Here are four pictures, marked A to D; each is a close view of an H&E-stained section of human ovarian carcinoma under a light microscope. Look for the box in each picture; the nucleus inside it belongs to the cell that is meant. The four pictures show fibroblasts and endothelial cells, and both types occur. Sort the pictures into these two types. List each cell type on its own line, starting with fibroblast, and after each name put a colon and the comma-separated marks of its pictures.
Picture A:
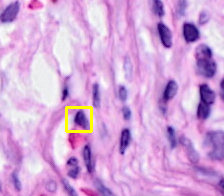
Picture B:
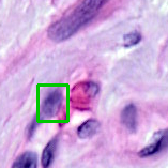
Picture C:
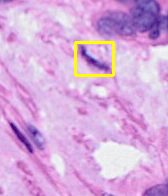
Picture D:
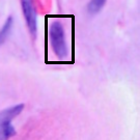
fibroblast: C
endothelial cell: A, B, D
